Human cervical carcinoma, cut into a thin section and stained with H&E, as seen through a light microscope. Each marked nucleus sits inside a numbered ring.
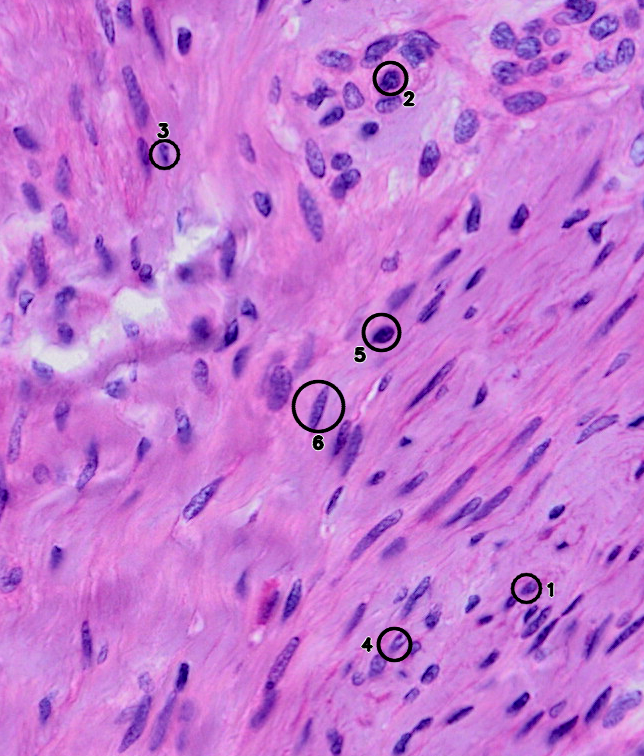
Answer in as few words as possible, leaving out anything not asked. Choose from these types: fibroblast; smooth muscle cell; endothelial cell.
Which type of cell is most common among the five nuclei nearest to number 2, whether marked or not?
smooth muscle cell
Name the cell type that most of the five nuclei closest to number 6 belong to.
fibroblast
